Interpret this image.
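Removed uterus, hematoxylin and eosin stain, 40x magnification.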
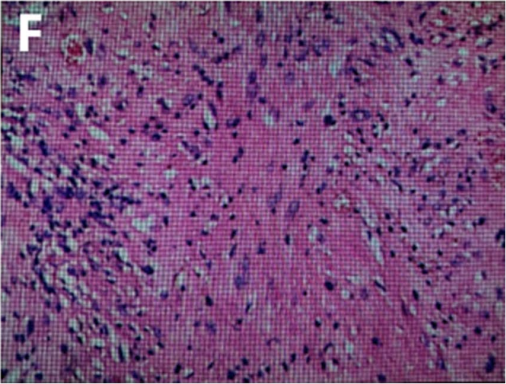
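This is a section of uterine wall in which much of the tissue is necrotic. Pink, eosinophilic material fills the field and shows little preserved structure. Scattered purple-blue nuclei lie within it, many elongated or spindle-shaped and some small, dark and irregular. The nuclei are unevenly spaced, more crowded in some places and sparse in others.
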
